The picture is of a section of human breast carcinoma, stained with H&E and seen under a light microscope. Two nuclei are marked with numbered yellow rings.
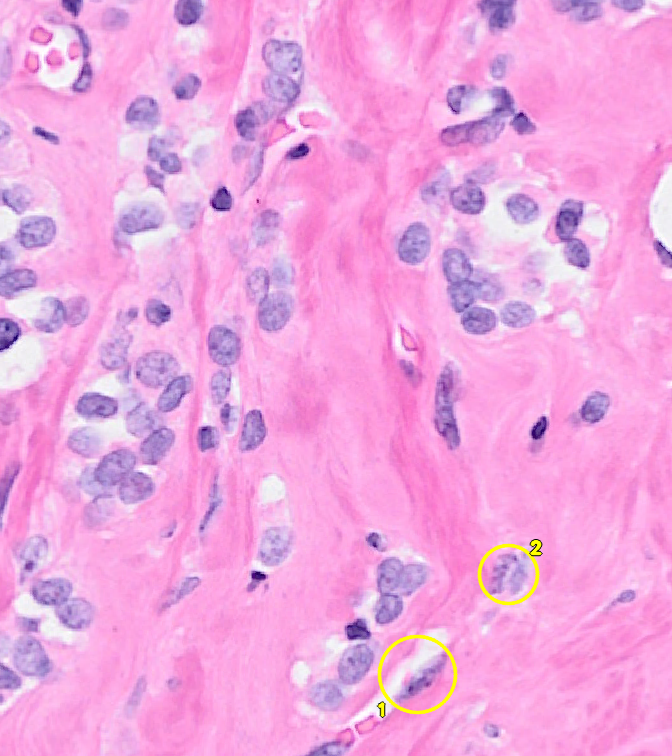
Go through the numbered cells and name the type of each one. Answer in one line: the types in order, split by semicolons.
endothelial cell; fibroblast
